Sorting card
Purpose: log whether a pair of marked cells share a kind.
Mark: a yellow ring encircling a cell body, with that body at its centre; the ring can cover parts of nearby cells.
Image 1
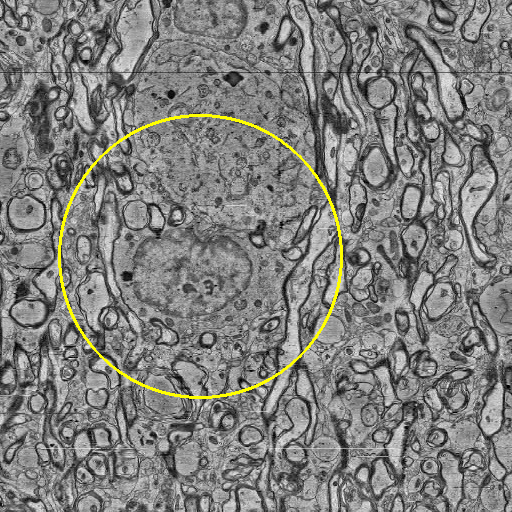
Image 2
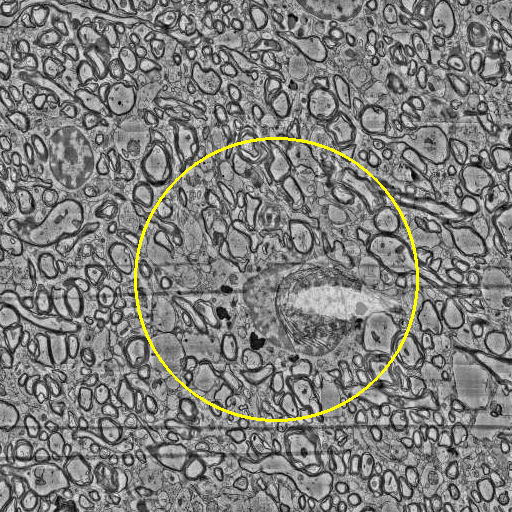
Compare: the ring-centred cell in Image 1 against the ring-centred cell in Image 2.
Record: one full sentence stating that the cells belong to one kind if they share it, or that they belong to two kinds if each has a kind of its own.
Across Images 1 and 2, the two ring-centred cells belong to one kind.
